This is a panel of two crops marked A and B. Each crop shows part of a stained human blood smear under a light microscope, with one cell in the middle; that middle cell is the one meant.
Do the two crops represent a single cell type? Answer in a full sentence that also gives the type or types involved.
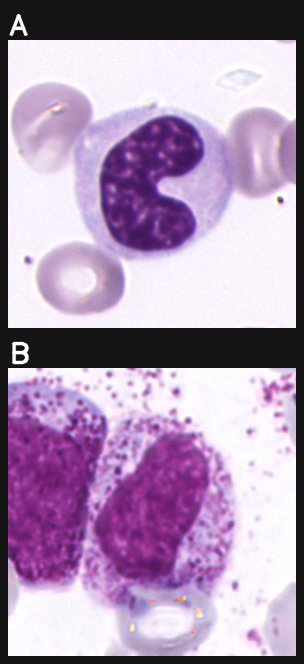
Yes, the cells at the centre of both crops are band neutrophils.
